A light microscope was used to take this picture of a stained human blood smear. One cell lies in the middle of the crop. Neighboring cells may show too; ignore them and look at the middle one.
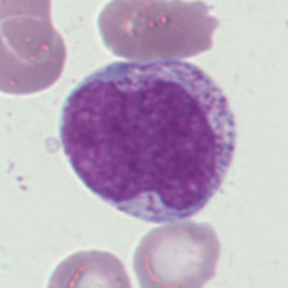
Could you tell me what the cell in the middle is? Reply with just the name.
promyelocyte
